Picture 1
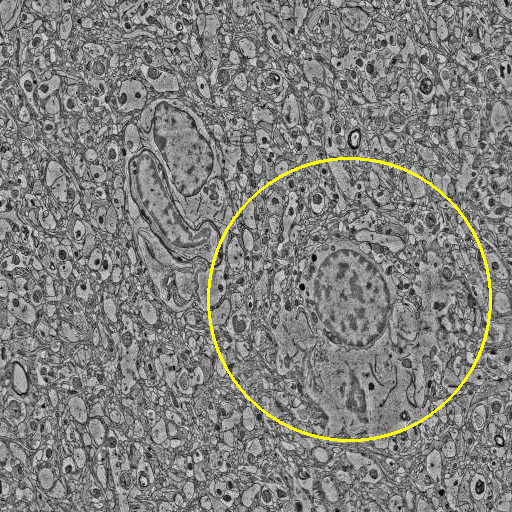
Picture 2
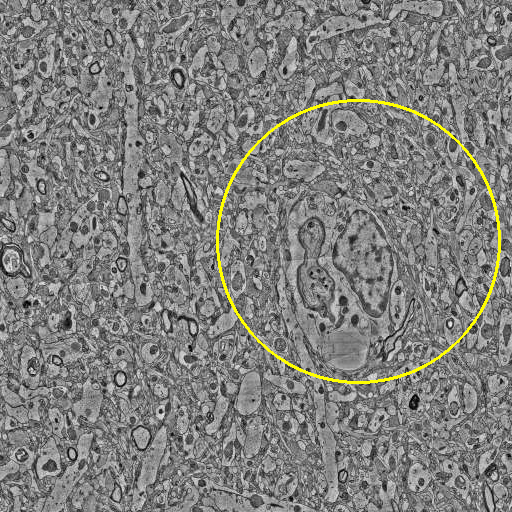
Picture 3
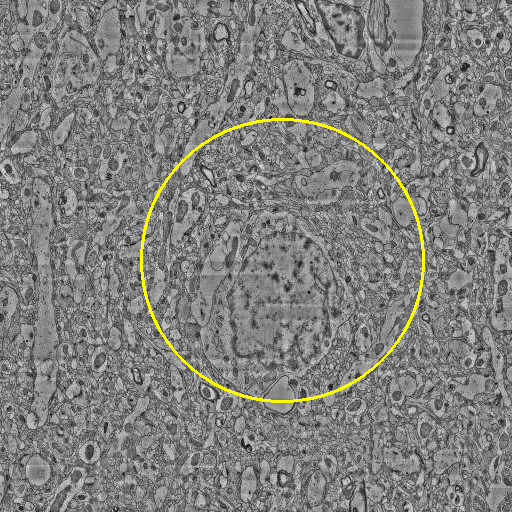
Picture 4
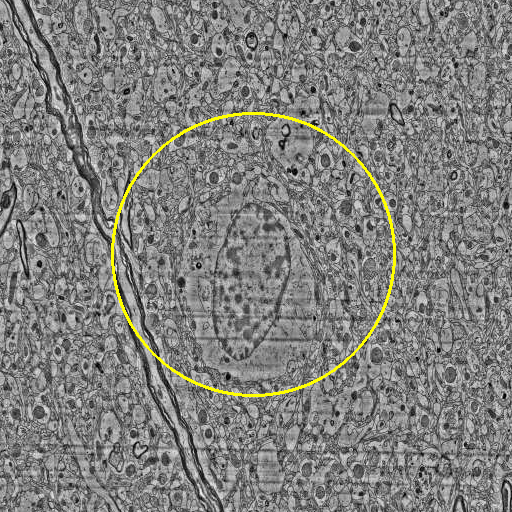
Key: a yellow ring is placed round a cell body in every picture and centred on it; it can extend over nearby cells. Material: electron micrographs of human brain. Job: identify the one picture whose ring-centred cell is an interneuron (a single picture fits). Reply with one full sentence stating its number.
Picture 3 is the one with the sought cell at the centre of its ring.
